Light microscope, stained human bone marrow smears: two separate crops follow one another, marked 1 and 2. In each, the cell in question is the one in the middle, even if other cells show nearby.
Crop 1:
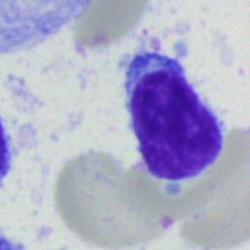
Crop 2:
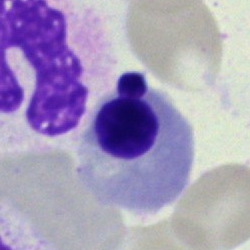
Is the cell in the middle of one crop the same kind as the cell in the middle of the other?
no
